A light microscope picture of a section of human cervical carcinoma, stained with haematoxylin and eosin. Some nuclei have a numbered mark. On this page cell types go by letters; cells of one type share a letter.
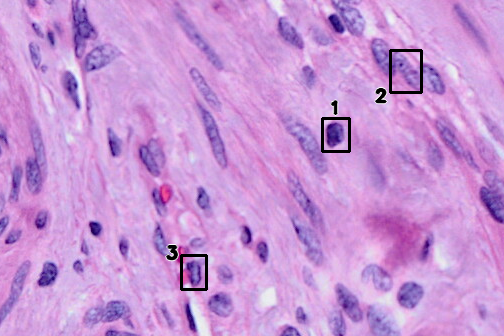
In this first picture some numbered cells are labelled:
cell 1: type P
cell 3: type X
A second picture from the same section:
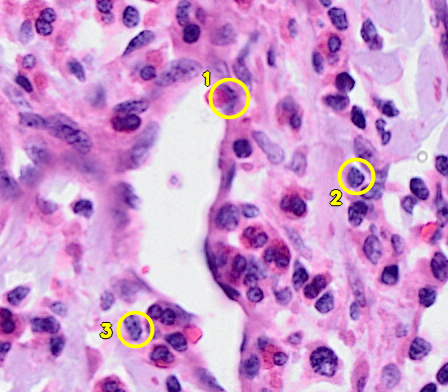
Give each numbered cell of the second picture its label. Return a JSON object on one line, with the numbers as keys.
{"1": "type X", "2": "type P", "3": "type P"}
